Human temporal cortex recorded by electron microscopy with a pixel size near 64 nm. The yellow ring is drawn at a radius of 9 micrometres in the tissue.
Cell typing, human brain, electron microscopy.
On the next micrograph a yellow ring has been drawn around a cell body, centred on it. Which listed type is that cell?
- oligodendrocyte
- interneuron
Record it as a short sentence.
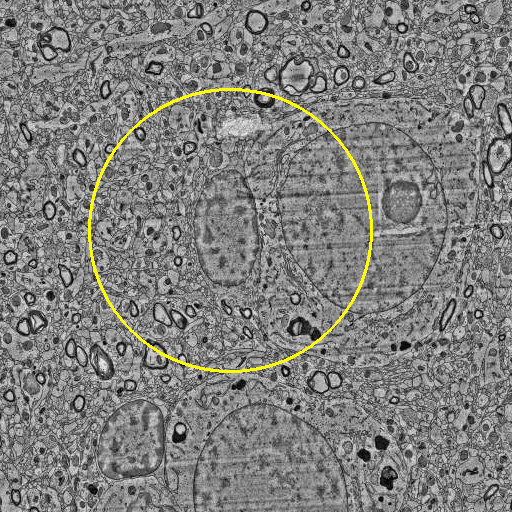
The cell body in the ring's centre belongs to an oligodendrocyte.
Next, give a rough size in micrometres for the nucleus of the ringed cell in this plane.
In this plane the nucleus measures about 7 by 4 micrometres and is clearly longer than it is wide.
